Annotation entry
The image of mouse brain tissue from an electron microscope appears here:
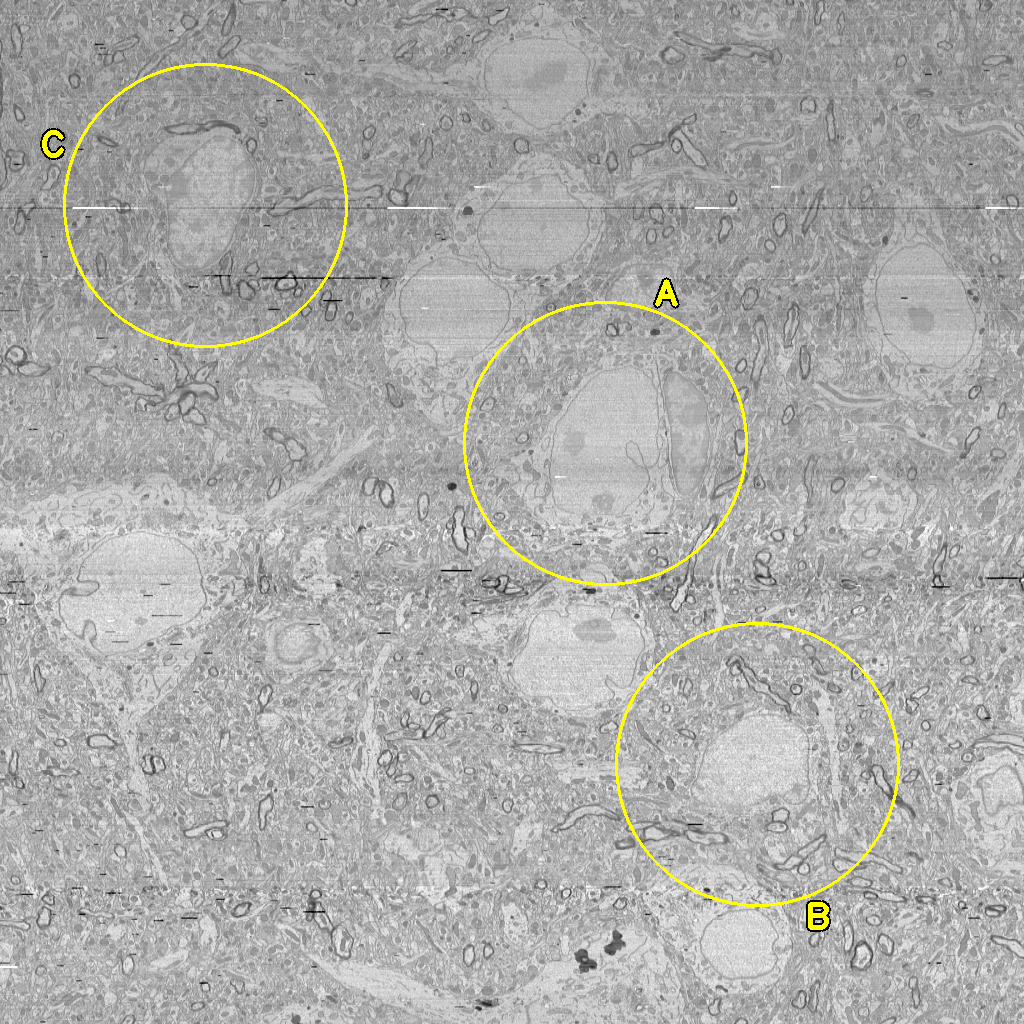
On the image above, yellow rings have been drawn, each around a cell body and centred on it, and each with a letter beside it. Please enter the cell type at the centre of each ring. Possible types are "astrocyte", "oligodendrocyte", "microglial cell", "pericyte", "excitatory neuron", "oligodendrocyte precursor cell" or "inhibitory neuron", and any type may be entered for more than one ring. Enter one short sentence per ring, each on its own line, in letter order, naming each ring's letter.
The cell that ring A is centred on is an excitatory neuron.
The cell that ring B is centred on is an astrocyte.
The cell that ring C is centred on is an oligodendrocyte.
